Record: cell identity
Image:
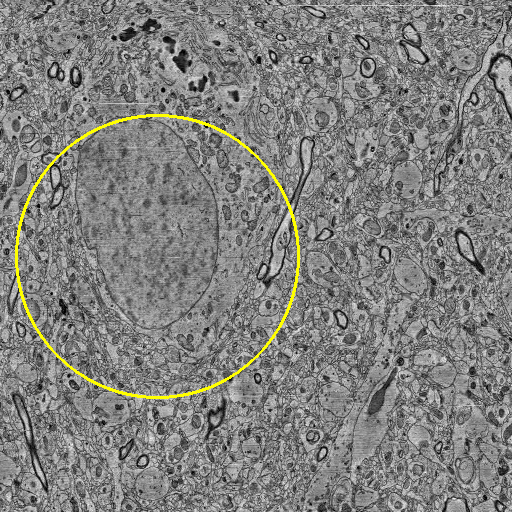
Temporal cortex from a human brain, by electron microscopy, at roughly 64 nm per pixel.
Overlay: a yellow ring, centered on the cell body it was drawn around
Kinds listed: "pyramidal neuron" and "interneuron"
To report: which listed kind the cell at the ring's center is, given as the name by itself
interneuron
